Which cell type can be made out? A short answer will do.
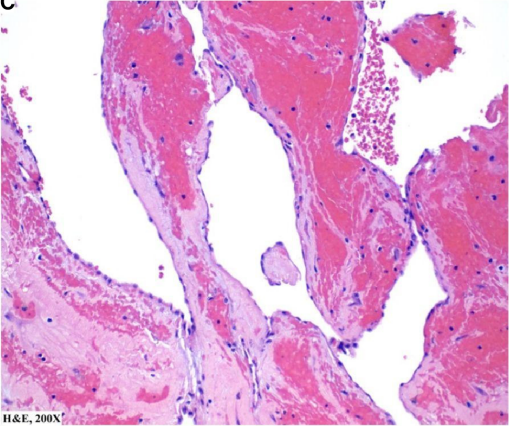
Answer: flattened endothelial cells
